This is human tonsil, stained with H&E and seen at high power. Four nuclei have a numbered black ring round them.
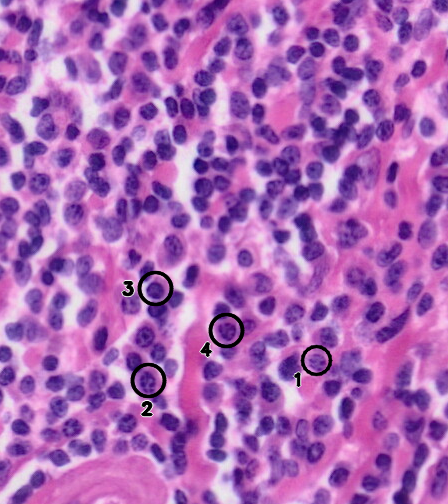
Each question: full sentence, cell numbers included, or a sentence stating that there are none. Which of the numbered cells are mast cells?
Among the cells marked with numbers, the only one that is a mast cell is number 1.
